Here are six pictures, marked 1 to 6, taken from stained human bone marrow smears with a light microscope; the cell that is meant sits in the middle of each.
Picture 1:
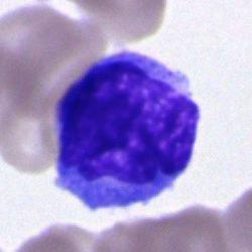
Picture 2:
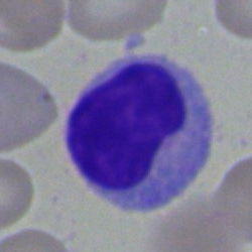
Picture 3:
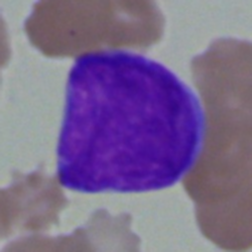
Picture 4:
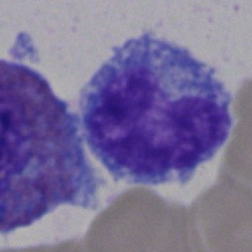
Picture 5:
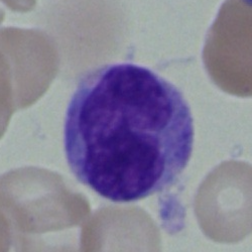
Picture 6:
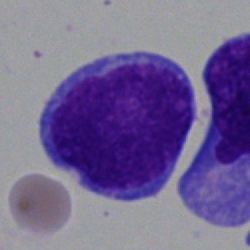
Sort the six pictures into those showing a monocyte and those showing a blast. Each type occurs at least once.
1: monocyte
2: monocyte
3: blast
4: monocyte
5: monocyte
6: blast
